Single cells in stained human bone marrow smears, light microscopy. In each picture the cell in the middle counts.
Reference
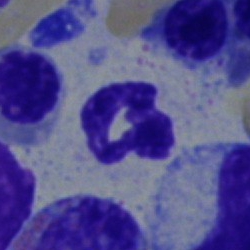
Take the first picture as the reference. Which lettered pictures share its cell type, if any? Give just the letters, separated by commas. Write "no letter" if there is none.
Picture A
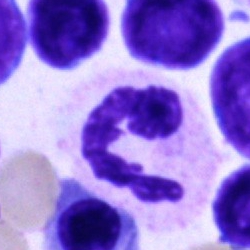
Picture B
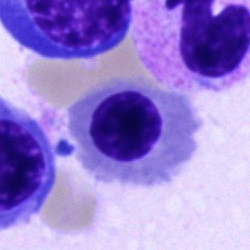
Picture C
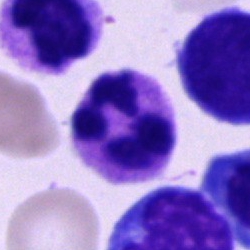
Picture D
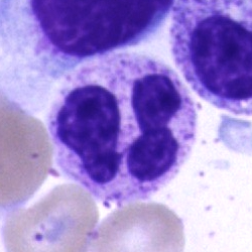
A, C, D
